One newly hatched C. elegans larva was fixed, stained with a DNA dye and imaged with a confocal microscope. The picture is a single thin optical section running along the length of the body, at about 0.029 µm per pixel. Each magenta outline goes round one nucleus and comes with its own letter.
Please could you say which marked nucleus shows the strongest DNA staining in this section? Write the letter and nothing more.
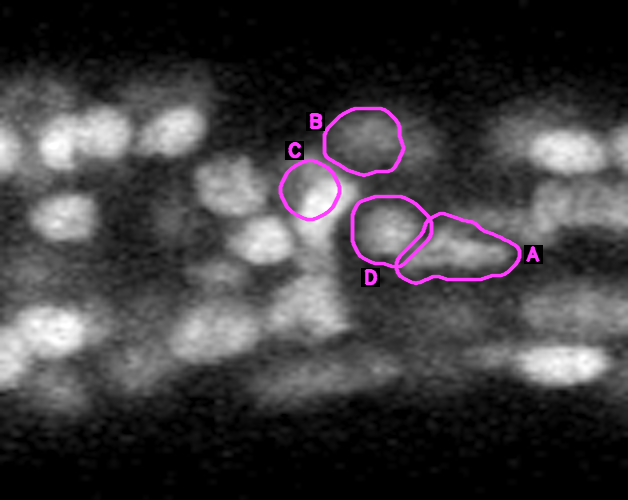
C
